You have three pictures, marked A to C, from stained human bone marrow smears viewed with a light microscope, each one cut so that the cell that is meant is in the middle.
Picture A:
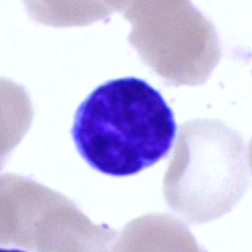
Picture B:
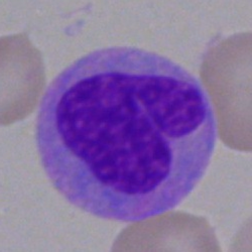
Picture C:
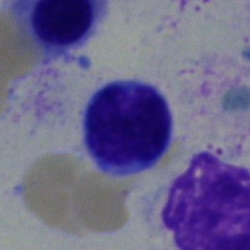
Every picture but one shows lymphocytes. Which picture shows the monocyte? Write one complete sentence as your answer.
The cell in picture B is the monocyte.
